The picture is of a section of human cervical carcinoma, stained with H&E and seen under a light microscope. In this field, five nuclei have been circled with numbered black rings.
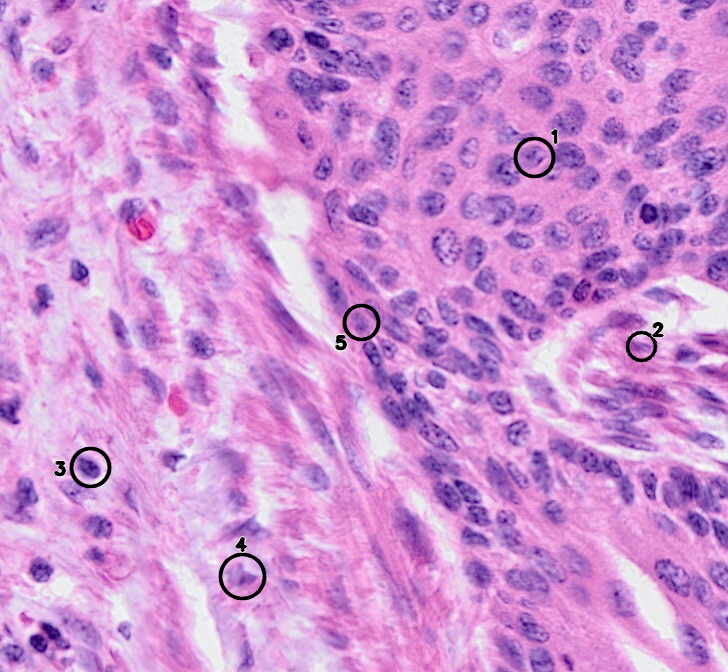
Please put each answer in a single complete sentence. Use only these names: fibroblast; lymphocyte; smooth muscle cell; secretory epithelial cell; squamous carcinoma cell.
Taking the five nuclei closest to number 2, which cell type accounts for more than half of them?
Fibroblasts make up most of the five nuclei closest to number 2.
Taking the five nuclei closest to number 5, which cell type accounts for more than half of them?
Squamous carcinoma cells make up most of the five nuclei closest to number 5.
